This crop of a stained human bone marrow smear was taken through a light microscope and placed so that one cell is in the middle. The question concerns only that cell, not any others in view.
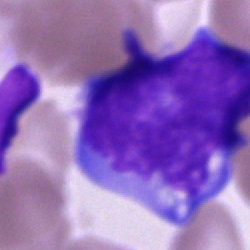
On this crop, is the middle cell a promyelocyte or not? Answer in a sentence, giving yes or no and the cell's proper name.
No, not a promyelocyte but a blast is the cell in the centre.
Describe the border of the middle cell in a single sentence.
The margin of this cell is irregular, showing raggedness or projections instead of smoothness.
